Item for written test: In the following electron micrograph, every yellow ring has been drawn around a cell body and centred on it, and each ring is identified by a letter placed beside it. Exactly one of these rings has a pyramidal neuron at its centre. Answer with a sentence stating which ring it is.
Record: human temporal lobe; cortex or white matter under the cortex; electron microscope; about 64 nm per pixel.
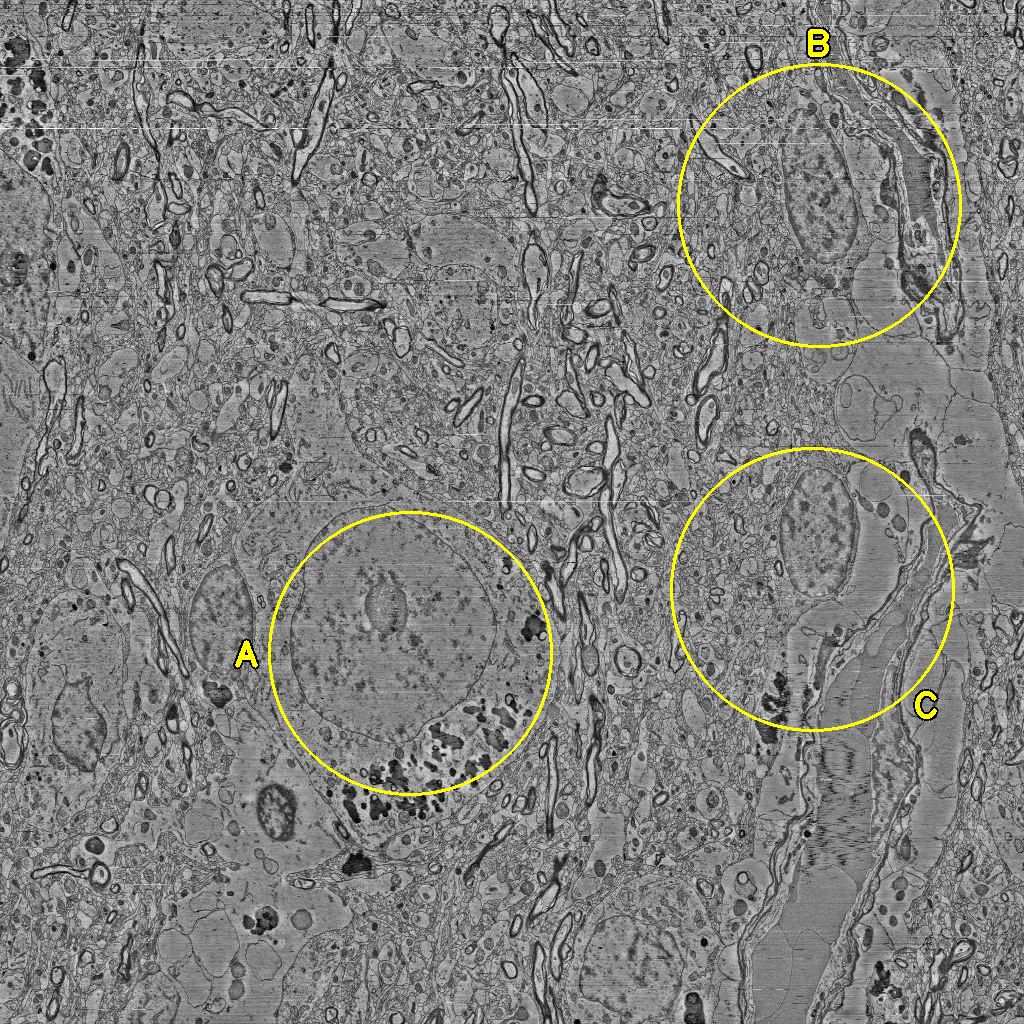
It is ring A.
